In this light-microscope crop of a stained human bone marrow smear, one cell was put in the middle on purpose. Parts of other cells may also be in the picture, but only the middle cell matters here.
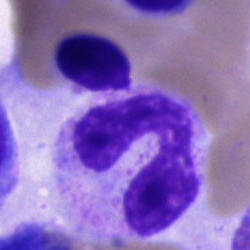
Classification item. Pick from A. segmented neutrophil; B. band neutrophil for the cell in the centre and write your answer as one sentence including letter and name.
The expected answer is option B, the central cell being a band neutrophil.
